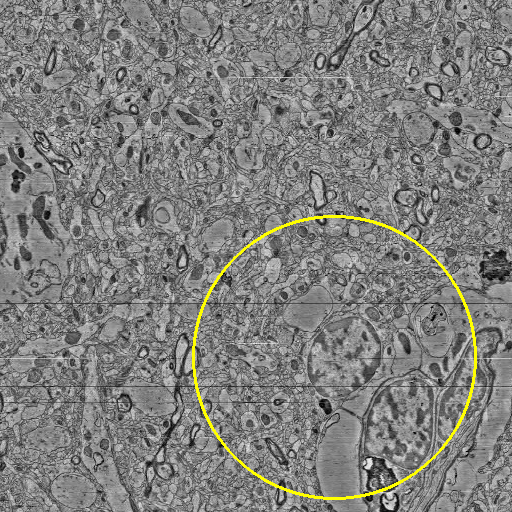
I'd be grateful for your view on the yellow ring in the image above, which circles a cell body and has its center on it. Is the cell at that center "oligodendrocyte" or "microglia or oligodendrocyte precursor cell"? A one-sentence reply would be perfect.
The cell at the center of the yellow ring is a microglial cell or oligodendrocyte precursor cell.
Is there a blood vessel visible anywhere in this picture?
Yes, one is visible.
